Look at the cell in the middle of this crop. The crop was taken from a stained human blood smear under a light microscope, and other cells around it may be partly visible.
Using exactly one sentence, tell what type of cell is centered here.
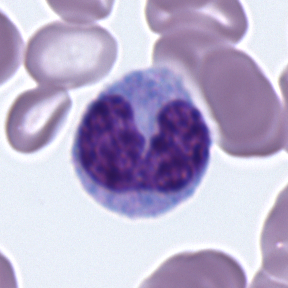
This crop is built around a monocyte at its centre.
